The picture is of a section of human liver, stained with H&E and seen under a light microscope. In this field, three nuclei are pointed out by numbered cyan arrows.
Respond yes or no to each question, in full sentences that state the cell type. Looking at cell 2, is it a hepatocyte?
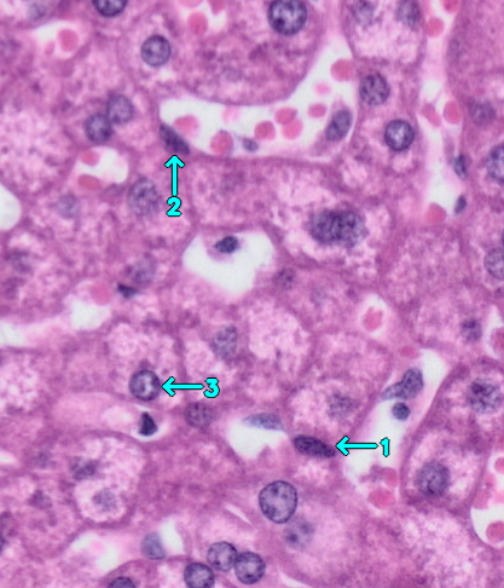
No, a hepatocyte is not what cell 2 is; it is an endothelial cell.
